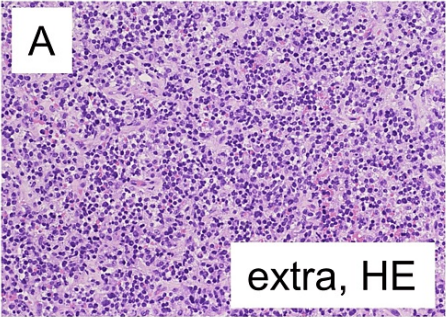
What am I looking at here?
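A densely cellular tumor made of sheets of tumor cells with large round and ovoid nuclei fills the field. The nuclei stain dark purple and are closely packed, with scant cytoplasm between them. Delicate pink strands of stroma run between groups of cells. No glandular or layered arrangement is seen; the cells grow diffusely.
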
